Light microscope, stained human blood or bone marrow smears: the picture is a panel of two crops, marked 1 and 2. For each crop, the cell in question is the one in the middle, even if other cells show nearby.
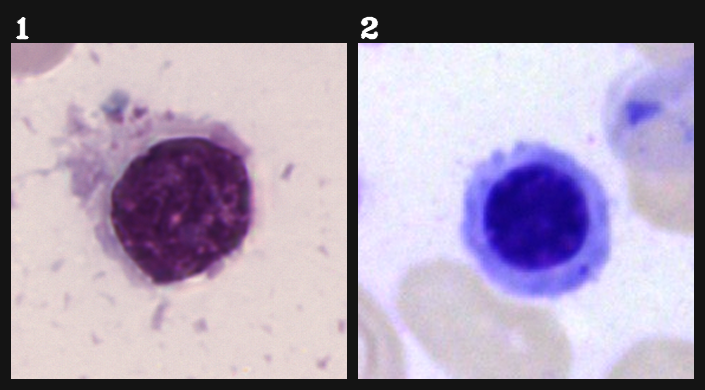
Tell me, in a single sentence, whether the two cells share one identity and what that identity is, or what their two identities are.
No, a plasma cell occupies the middle of crop 1, and an erythroblast the middle of crop 2.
